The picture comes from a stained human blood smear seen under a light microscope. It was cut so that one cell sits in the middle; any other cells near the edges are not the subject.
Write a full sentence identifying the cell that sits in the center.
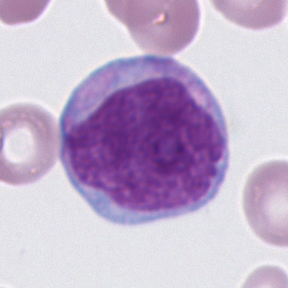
The cell shown in the center of this light-microscope crop is an atypical promyelocyte.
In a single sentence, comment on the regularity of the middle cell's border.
No projections interrupt the outline; it is smooth all the way round.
